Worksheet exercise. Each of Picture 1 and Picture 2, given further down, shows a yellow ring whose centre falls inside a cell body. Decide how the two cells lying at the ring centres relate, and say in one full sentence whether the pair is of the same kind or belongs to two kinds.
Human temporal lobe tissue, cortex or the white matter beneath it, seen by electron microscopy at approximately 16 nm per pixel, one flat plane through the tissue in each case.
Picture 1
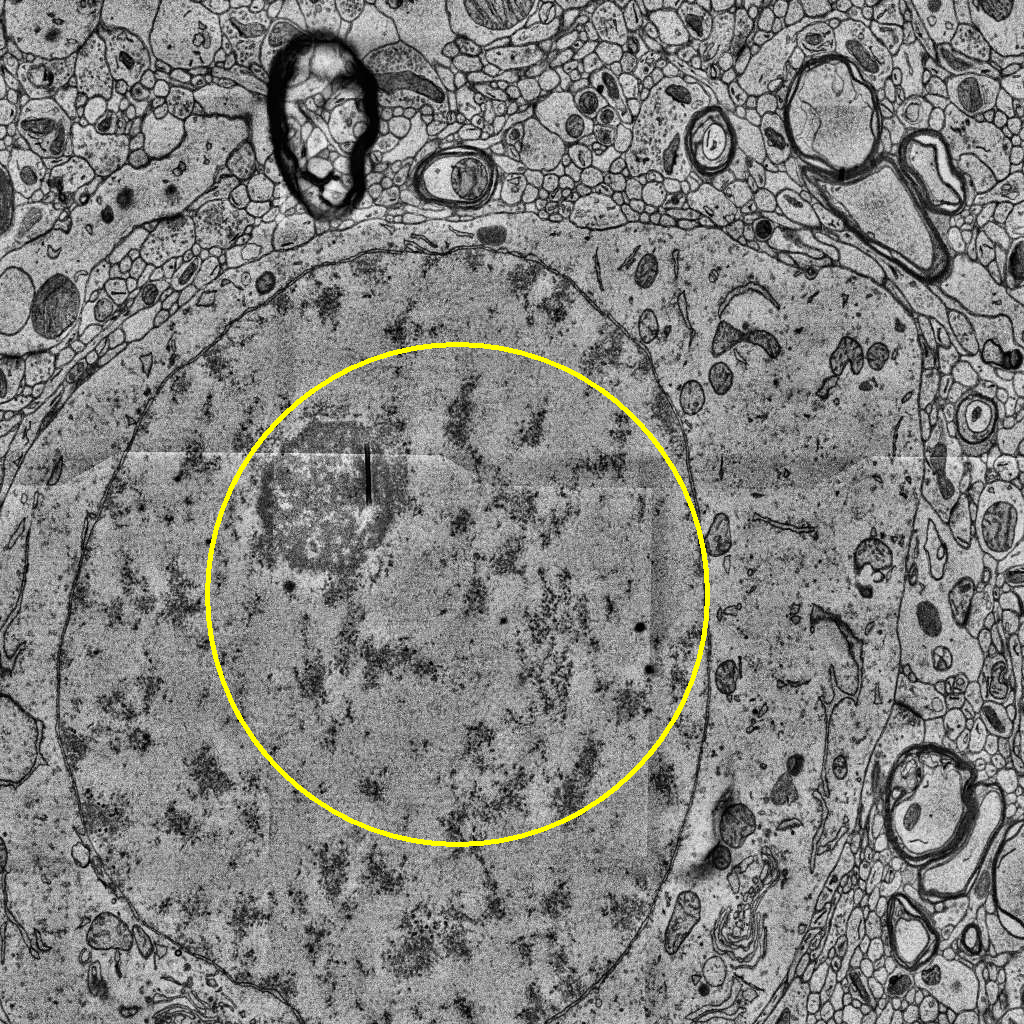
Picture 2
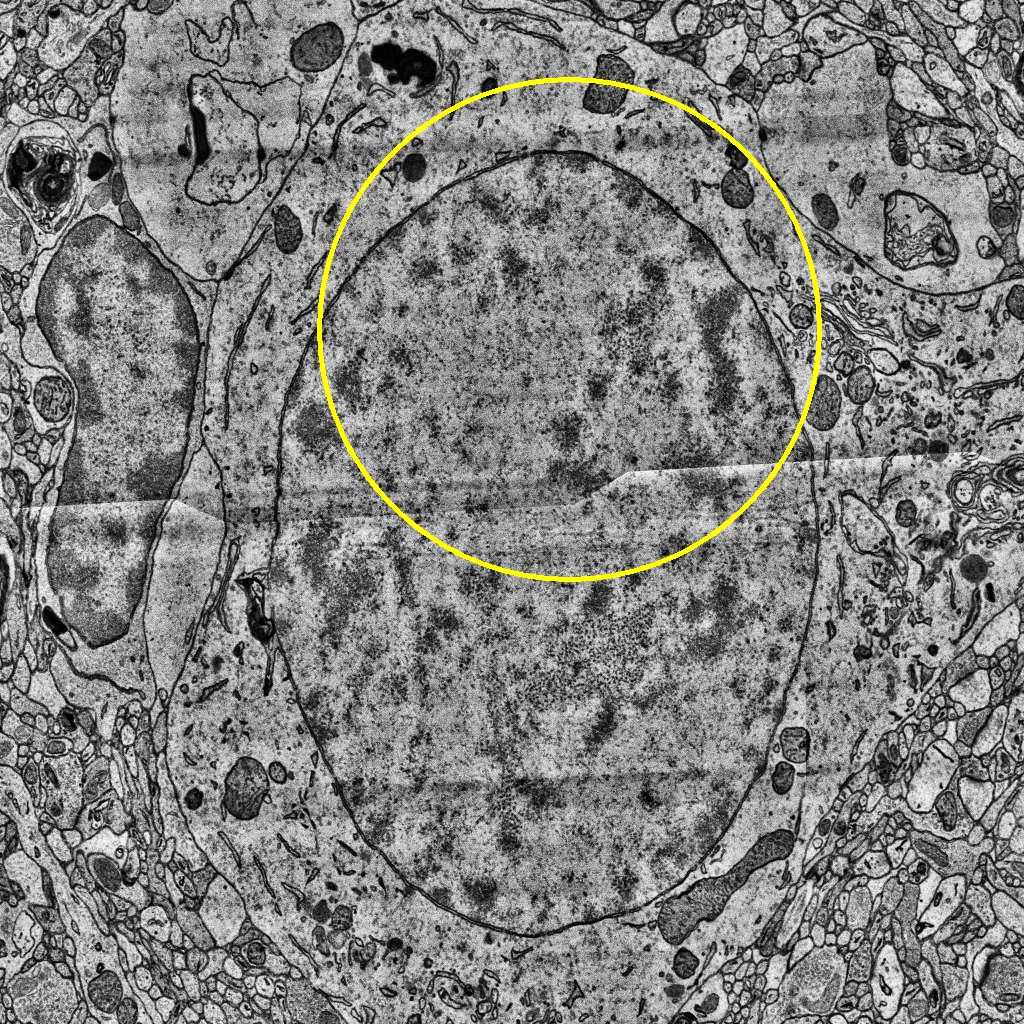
The cells at the ring centres in Picture 1 and Picture 2 are of the same kind.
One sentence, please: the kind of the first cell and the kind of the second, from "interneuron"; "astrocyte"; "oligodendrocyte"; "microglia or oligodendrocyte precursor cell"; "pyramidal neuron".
Both cells are the same kind, each one being a pyramidal neuron.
